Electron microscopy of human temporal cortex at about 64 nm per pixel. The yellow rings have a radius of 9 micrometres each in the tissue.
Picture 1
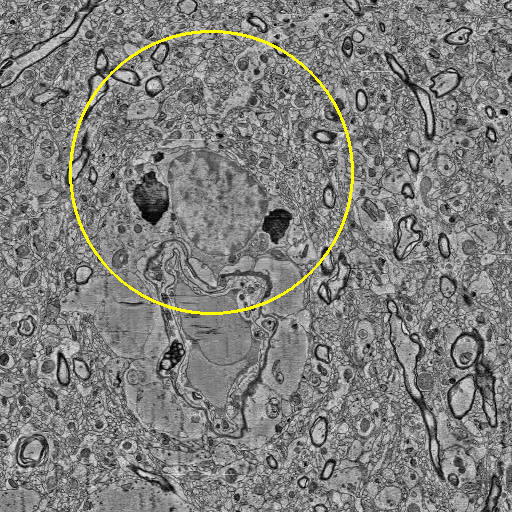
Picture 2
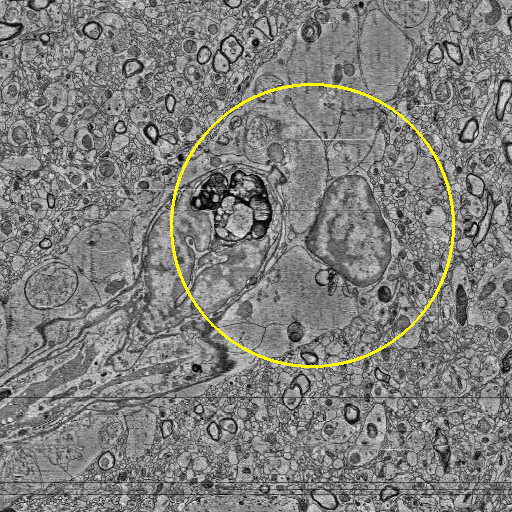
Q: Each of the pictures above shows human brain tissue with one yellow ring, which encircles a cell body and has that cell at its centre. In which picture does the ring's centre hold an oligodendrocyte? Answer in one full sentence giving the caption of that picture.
Picture 1 is the one whose ring is centred on the cell in question.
